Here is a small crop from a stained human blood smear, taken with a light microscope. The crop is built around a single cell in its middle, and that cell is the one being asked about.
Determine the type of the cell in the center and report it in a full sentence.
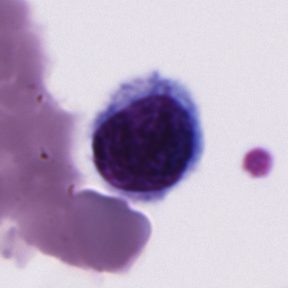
Centrally within this crop lies a hairy cell.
